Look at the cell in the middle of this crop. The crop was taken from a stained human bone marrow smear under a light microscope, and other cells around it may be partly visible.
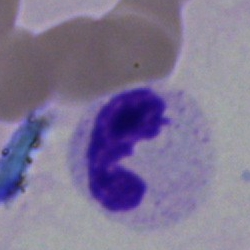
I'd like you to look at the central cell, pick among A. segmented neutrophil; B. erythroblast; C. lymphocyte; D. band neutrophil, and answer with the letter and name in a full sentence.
The central cell, a band neutrophil, is correctly identified by option D.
